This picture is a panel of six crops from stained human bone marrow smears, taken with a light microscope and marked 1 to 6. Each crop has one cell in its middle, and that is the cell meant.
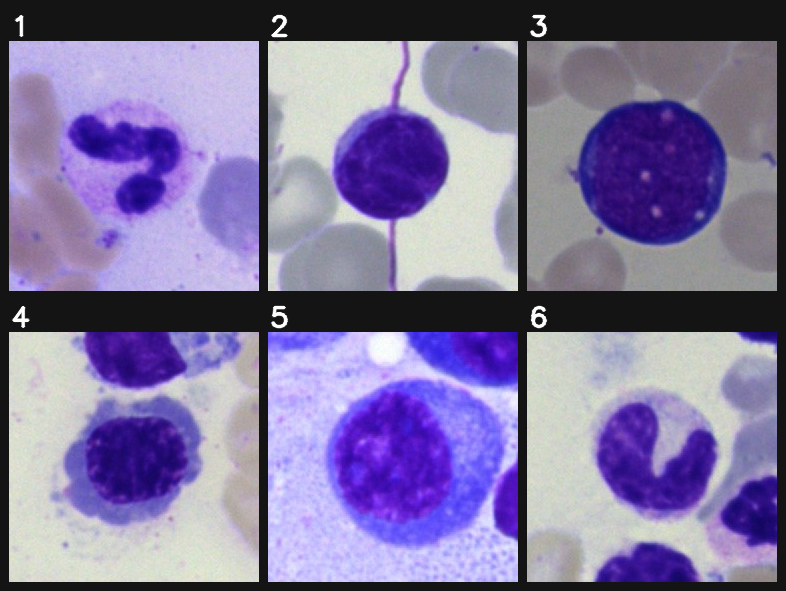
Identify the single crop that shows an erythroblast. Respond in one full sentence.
It is crop 4, not any other, that shows an erythroblast.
